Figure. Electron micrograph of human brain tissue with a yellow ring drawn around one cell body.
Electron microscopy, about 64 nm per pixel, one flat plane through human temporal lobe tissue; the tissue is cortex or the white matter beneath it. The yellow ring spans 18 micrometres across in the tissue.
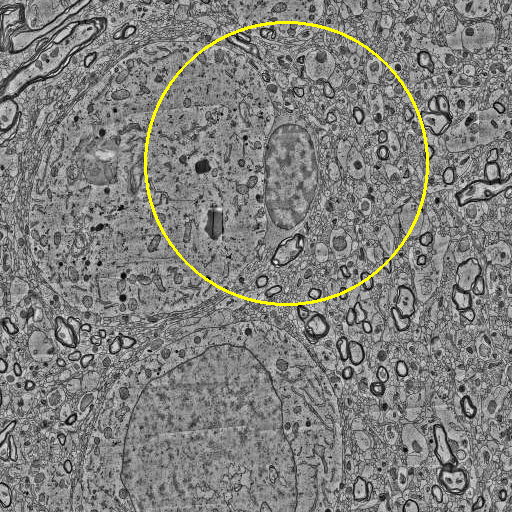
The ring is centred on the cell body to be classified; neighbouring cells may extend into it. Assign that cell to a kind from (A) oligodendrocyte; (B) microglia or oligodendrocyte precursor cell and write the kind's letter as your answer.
A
